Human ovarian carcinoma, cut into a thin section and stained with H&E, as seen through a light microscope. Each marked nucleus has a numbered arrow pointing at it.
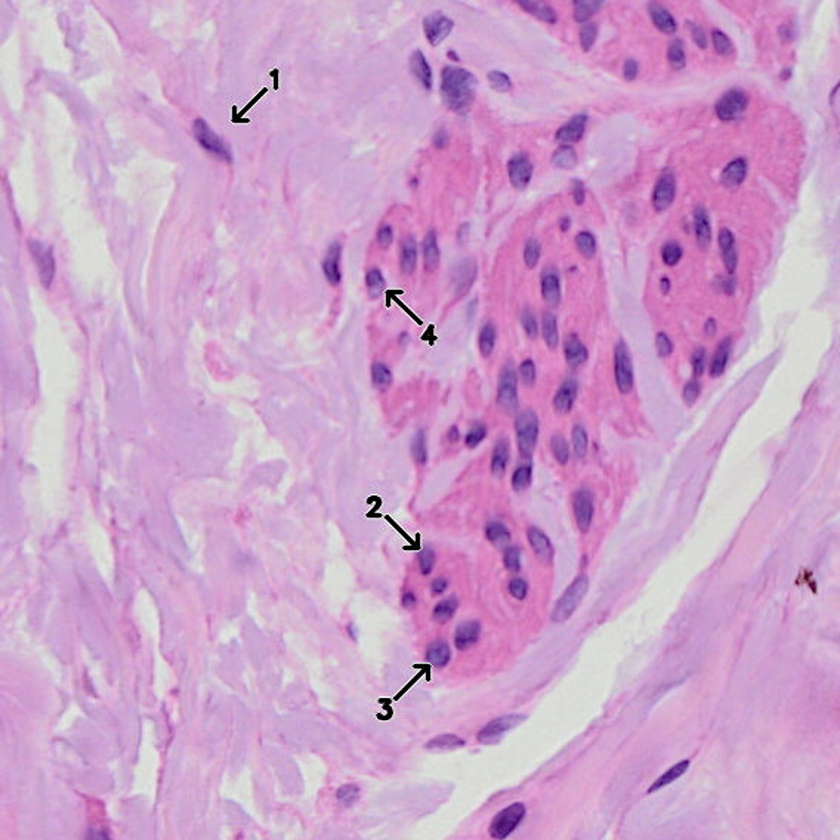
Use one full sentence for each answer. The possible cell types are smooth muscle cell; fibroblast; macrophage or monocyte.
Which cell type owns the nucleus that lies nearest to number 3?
The nearest nucleus to number 3 belongs to a smooth muscle cell.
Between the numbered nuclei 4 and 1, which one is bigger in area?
Nucleus 1 is larger, with an area about 1.5 times that of nucleus 4.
